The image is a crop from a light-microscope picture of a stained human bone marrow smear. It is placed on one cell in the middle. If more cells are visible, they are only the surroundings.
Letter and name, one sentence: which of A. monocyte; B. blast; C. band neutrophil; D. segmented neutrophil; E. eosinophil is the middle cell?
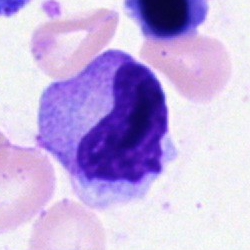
Here the right option is C, as the cell in the middle is a band neutrophil.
